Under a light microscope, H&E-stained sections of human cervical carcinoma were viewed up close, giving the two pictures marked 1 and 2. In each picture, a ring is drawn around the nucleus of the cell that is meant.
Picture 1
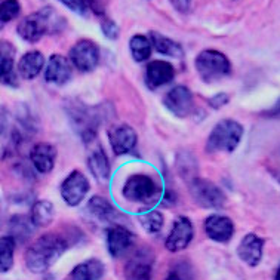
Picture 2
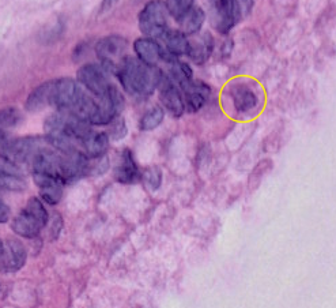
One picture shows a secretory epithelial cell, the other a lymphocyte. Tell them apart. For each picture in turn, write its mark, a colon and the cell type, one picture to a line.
1: lymphocyte
2: secretory epithelial cell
